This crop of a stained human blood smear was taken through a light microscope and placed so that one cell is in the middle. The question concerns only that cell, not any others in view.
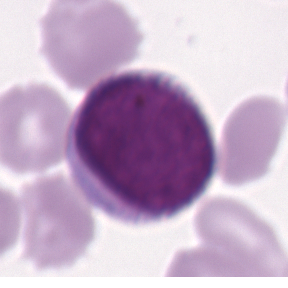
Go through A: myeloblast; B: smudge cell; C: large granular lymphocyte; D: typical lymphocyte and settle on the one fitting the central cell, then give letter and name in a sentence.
The correct option here is A; the middle cell is a myeloblast.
